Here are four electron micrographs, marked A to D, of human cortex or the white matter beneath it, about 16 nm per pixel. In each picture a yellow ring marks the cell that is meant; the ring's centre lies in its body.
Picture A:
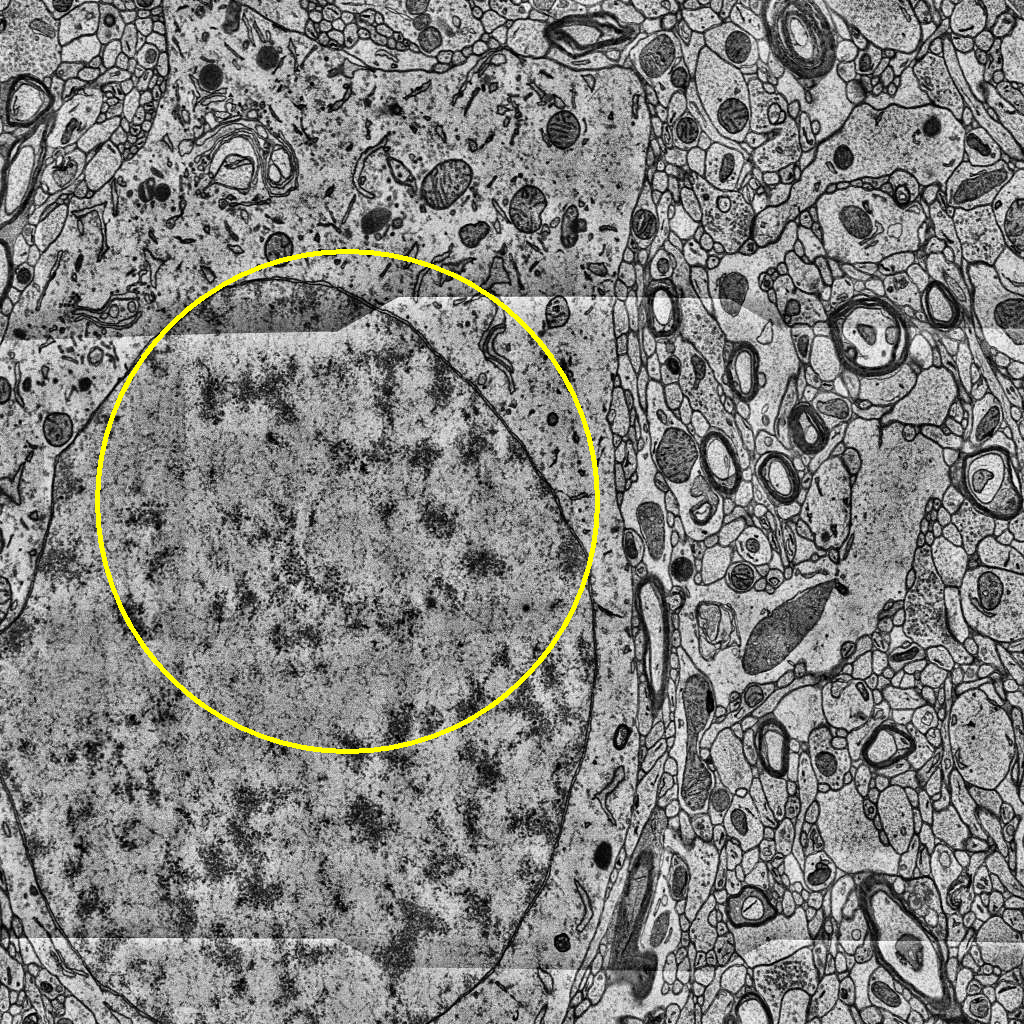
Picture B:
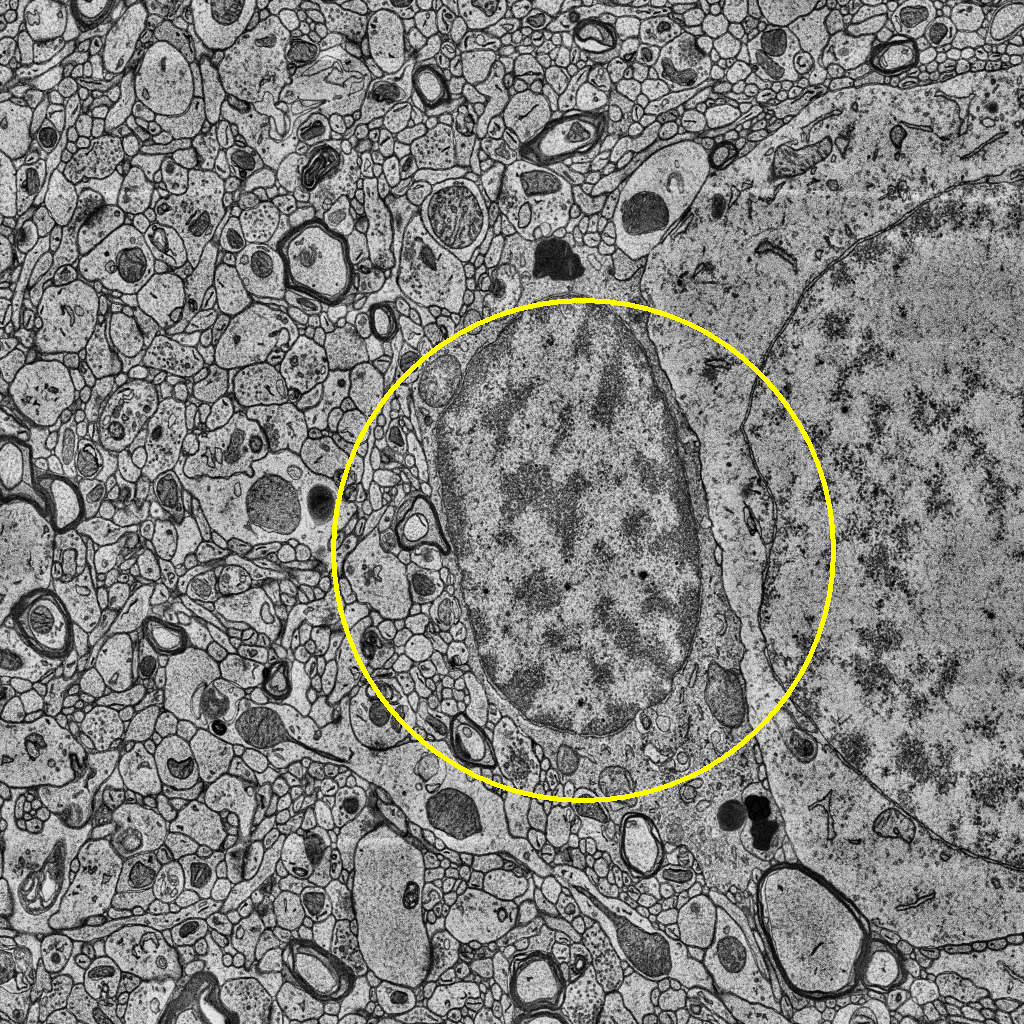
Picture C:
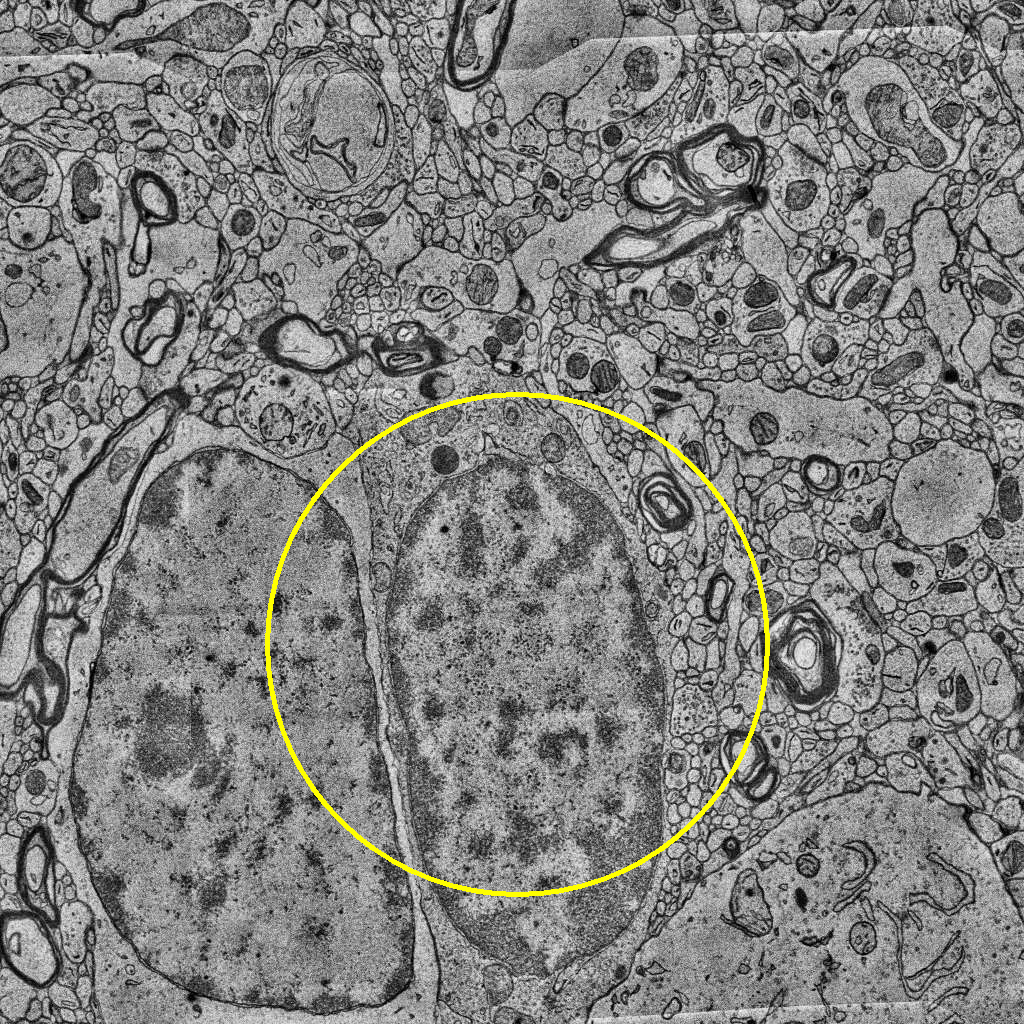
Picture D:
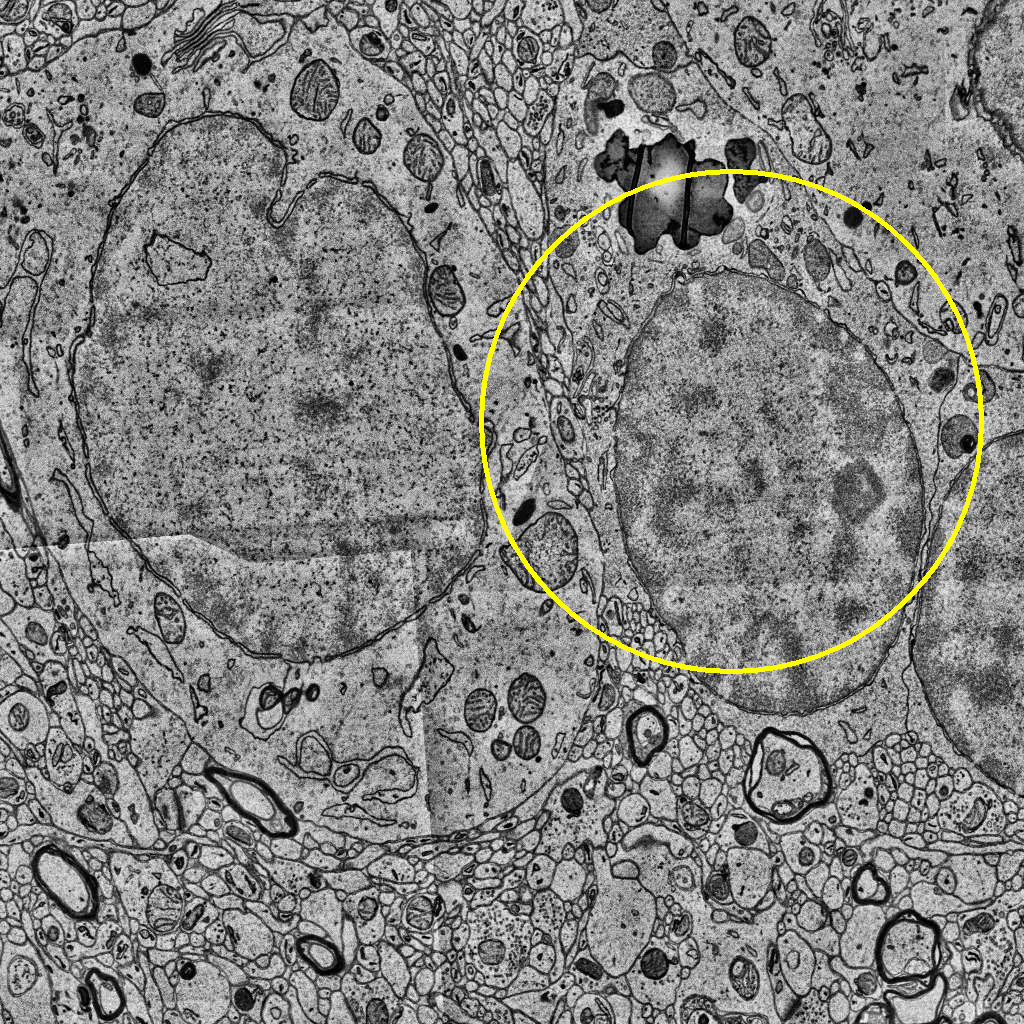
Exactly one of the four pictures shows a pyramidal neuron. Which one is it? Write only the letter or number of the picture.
A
